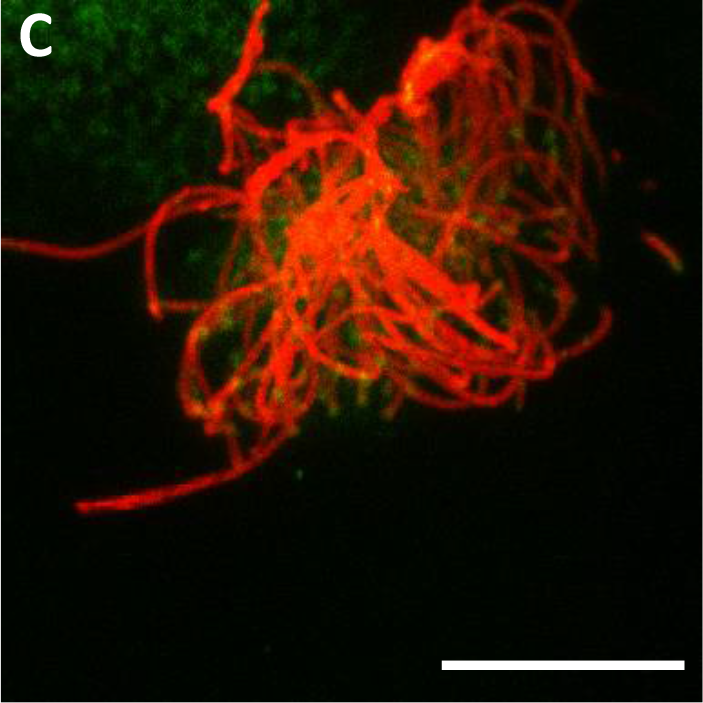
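This shows a multiciliated epithelial cell seen from above, with a dense tuft of cilia stained red. The cilia are long, thin and wavy, many running in parallel bundles that curve and loop away from the cell's apical surface, some reaching well beyond its outline. The surrounding area is dark with faint green background, and no other ciliated cell is seen in the field.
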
